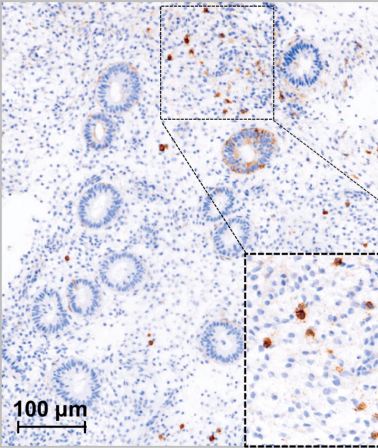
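This is endometrium with round and oval glands lined by a single layer of columnar epithelial cells with blue nuclei, set in a loose stroma of spindle and oval cells. Scattered through the stroma are many small rounded cells stained dark brown, lying singly between the stromal cells. The enlarged inset shows several of these brown cells among pale, elongated stromal nuclei. Some gland linings show a faint brownish tinge, but the darkest staining is on the isolated stromal cells.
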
